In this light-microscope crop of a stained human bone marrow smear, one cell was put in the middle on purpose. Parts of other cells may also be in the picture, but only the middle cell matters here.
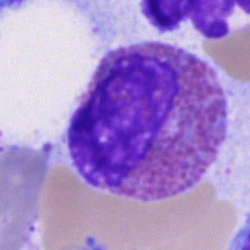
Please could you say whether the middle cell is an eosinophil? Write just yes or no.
yes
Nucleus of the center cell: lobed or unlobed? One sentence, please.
Have a look at the nucleus, which is one compact mass, round, oval or kidney-shaped.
